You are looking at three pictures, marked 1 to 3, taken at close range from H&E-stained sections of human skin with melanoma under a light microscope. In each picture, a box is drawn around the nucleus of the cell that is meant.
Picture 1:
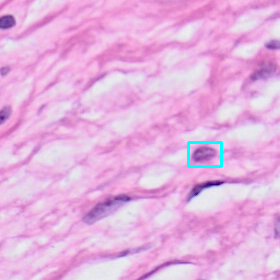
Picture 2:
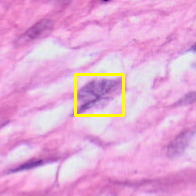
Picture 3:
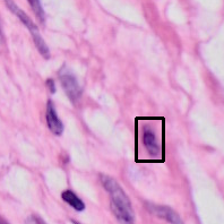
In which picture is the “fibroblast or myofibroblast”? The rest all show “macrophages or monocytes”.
2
